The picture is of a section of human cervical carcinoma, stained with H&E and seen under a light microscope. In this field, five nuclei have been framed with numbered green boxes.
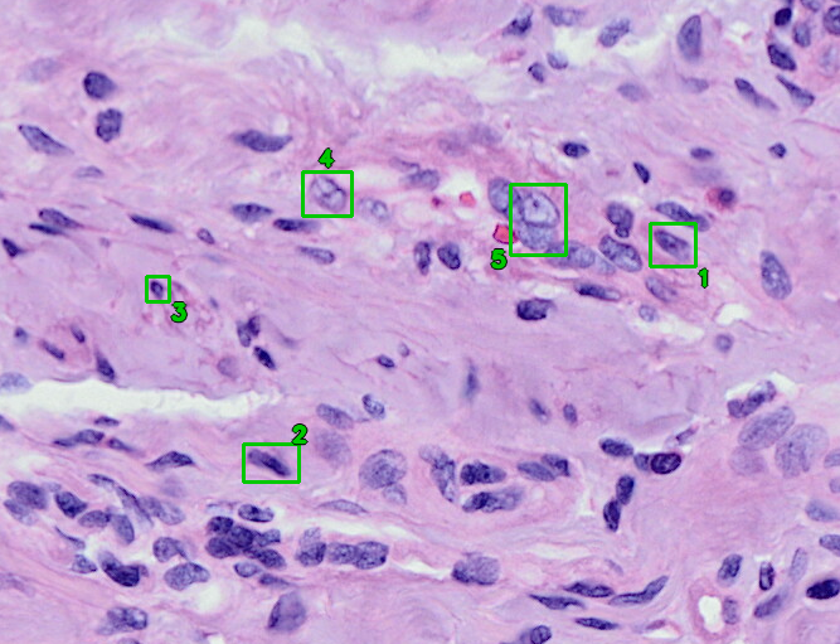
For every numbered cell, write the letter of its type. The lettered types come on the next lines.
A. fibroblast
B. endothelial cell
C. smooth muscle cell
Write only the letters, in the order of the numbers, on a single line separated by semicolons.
C; A; C; B; B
